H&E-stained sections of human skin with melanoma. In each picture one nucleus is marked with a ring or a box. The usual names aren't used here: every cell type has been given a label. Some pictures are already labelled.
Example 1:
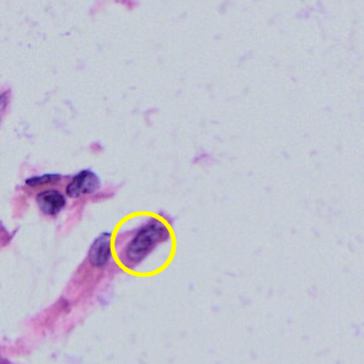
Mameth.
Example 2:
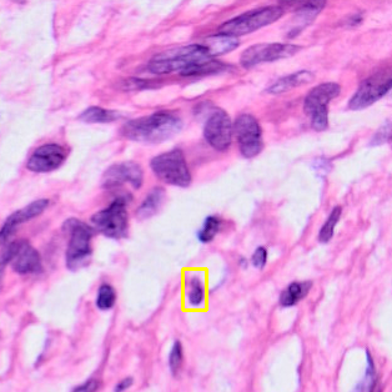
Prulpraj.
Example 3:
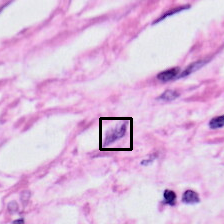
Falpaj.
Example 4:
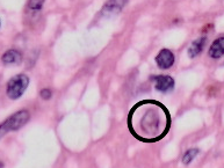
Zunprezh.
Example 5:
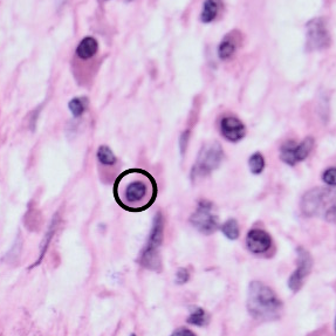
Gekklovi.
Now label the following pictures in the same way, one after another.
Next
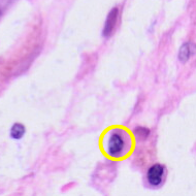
Zunprezh.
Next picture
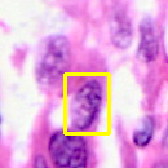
Mameth.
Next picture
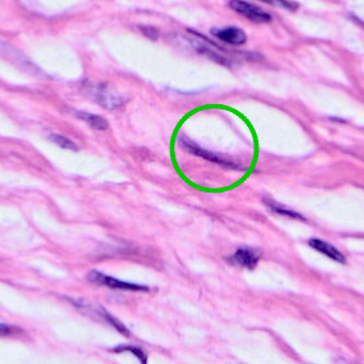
Falpaj.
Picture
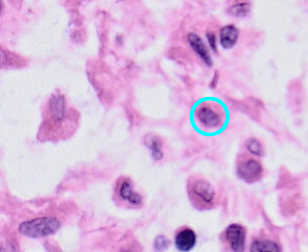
Zunprezh.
